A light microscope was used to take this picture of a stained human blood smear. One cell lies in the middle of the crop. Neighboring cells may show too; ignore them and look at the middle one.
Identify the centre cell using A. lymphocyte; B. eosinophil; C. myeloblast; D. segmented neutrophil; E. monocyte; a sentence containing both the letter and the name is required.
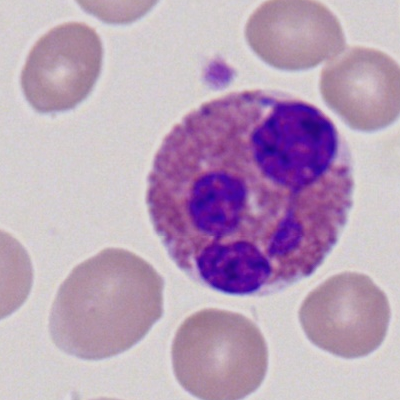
That the central cell is an eosinophil makes option B correct.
